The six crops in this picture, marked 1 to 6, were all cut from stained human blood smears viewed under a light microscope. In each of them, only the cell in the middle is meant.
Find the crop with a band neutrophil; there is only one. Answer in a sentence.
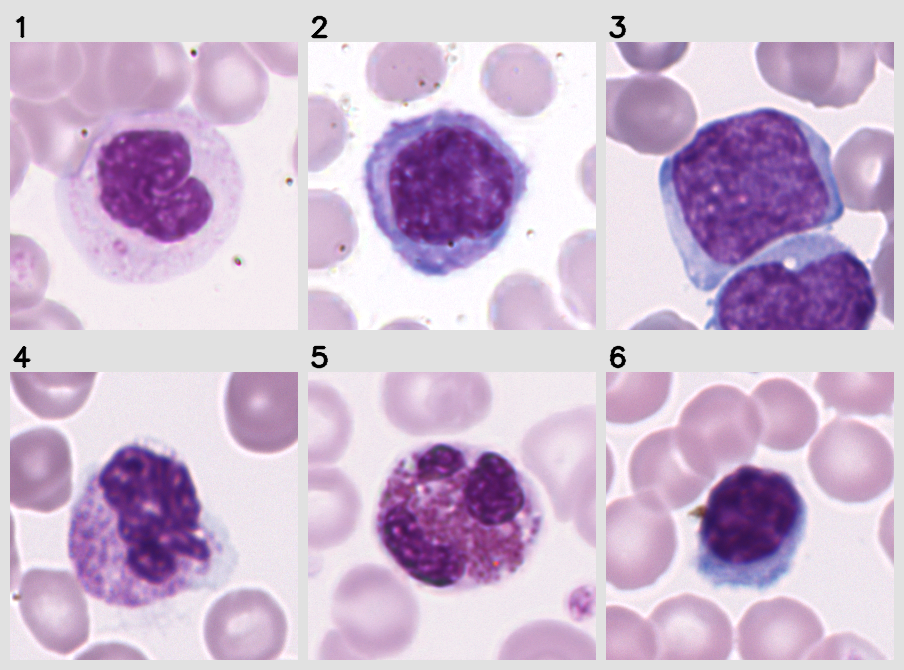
It is crop 1 that shows a band neutrophil.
